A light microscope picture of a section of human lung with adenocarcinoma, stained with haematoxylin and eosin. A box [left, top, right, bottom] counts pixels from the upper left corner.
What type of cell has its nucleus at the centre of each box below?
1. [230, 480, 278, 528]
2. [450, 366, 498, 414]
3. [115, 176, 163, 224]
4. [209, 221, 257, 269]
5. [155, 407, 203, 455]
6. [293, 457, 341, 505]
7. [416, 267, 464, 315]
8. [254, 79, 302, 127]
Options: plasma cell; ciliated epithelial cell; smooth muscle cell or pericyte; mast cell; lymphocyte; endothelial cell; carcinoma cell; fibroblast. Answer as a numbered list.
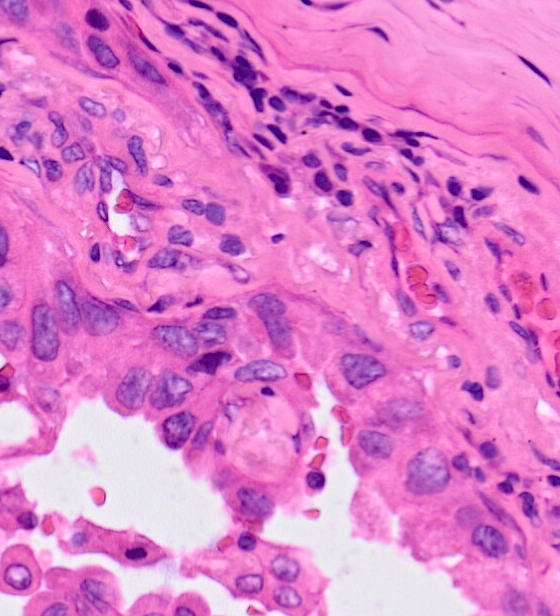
1. carcinoma cell
2. lymphocyte
3. endothelial cell
4. lymphocyte
5. carcinoma cell
6. lymphocyte
7. endothelial cell
8. lymphocyte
